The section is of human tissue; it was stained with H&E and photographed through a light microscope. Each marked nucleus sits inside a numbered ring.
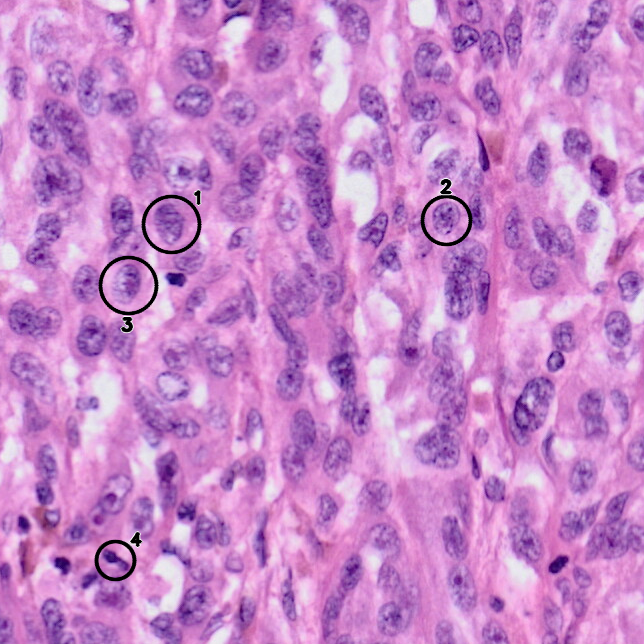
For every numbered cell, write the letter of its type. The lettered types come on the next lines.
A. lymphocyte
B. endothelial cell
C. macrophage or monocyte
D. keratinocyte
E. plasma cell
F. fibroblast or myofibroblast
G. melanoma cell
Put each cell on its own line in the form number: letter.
1: G
2: G
3: G
4: A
